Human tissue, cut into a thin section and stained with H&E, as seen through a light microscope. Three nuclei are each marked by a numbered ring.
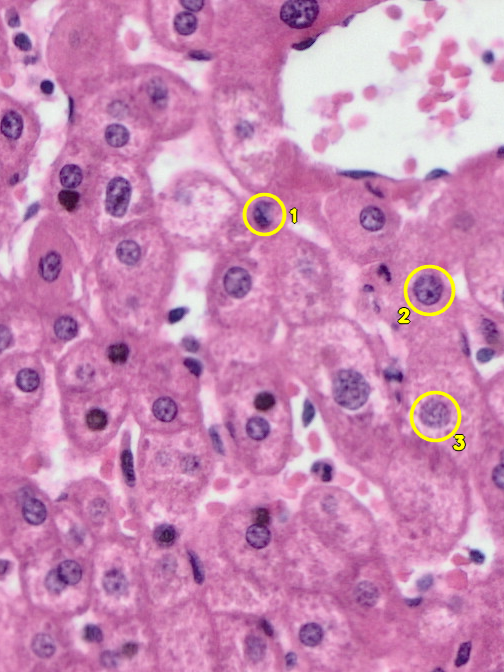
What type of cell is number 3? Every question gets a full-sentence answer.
As for number 3, that cell is a hepatocyte.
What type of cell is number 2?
Regarding cell 2, this one is a hepatocyte.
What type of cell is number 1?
The mark numbered 1 indicates the nucleus of a fibroblast or stellate cell.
